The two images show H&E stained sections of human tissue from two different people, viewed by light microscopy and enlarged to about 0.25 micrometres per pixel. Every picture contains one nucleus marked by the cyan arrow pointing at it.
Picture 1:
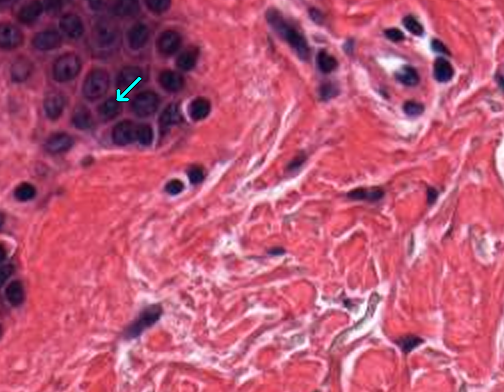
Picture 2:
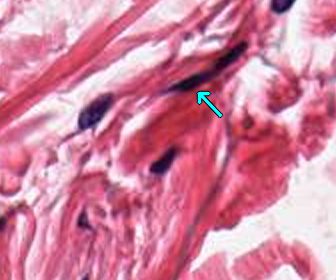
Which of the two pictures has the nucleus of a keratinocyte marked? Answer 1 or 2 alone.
1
